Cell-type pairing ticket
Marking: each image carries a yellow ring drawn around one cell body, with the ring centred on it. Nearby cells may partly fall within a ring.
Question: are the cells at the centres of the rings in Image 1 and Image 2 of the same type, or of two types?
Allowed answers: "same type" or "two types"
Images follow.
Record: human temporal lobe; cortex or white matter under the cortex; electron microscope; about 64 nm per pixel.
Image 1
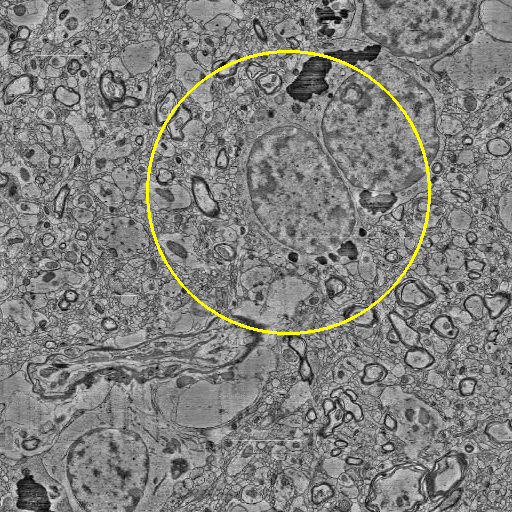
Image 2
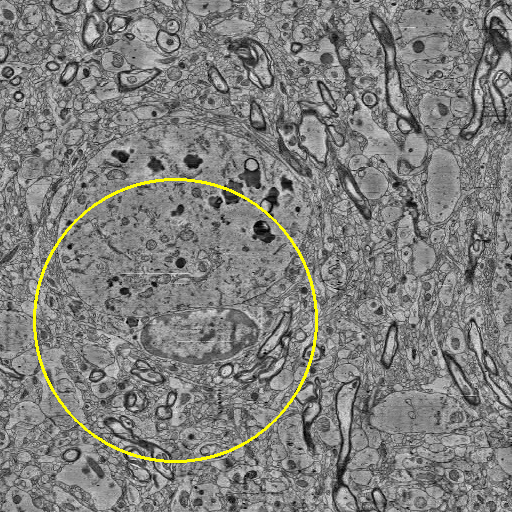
two types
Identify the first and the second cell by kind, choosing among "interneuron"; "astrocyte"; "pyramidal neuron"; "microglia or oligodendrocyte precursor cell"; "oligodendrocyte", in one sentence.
The one in the first picture is an oligodendrocyte, while the one in the second is a microglial cell or oligodendrocyte precursor cell.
